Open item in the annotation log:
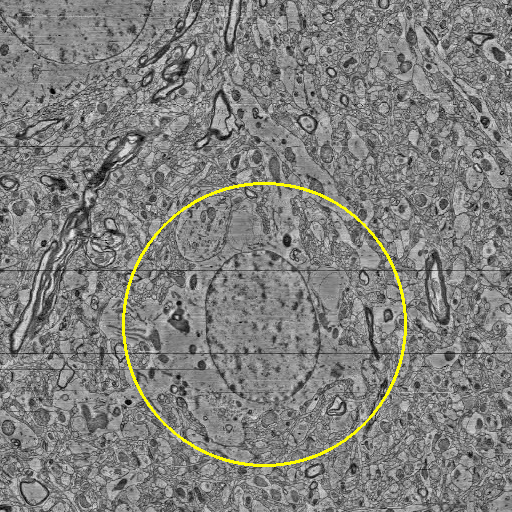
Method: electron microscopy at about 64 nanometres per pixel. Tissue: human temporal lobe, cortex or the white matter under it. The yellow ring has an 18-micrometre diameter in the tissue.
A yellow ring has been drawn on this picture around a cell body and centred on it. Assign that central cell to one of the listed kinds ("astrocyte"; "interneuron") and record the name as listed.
astrocyte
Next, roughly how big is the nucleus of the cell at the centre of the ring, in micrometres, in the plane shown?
Approximately 10 by 7 micrometers in this plane.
